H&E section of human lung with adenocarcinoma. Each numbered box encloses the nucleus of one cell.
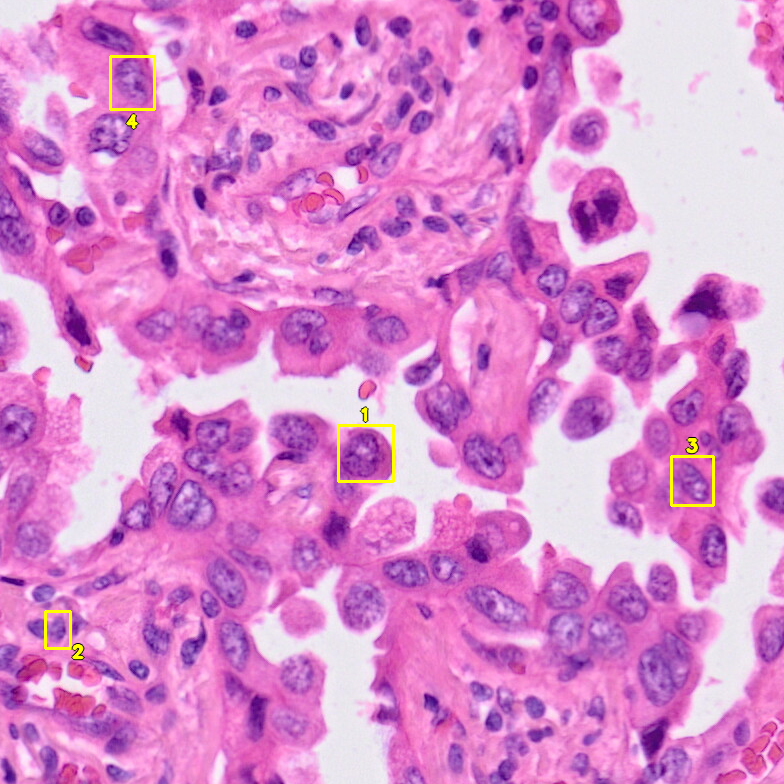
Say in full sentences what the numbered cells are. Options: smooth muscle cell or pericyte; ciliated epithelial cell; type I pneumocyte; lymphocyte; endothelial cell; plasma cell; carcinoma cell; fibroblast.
Cells 1, 3 and 4 are carcinoma cells. Cell 2 is a lymphocyte.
